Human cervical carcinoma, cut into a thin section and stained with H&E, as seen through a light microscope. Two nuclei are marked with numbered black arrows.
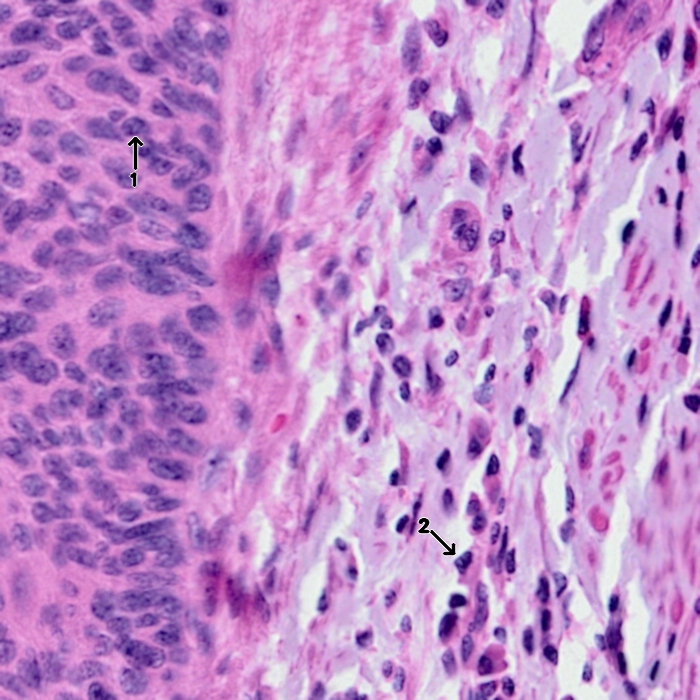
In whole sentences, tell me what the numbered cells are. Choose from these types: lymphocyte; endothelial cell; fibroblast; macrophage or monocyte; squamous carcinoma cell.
Cell 1 is a squamous carcinoma cell. Cell 2 is a lymphocyte.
